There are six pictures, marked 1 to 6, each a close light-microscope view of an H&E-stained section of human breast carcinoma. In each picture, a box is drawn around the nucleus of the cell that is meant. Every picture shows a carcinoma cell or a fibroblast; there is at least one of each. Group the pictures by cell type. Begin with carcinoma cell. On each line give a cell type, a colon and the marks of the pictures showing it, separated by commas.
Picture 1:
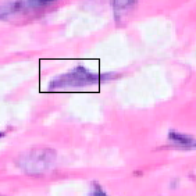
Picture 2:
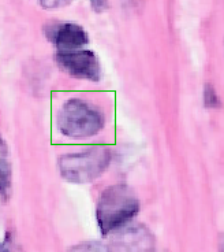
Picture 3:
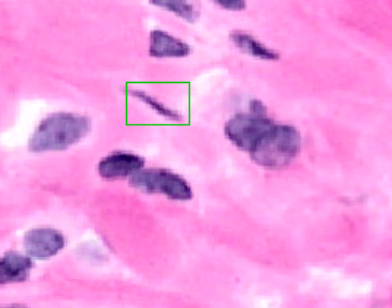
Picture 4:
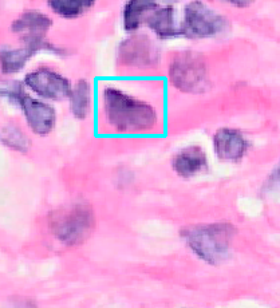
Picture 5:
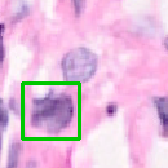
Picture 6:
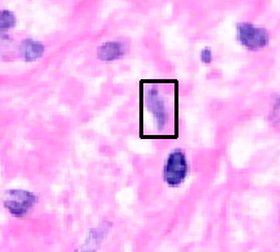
carcinoma cell: 2, 4, 5
fibroblast: 1, 3, 6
